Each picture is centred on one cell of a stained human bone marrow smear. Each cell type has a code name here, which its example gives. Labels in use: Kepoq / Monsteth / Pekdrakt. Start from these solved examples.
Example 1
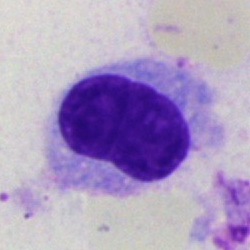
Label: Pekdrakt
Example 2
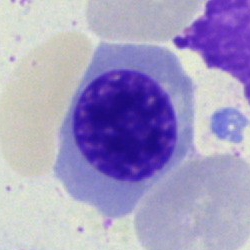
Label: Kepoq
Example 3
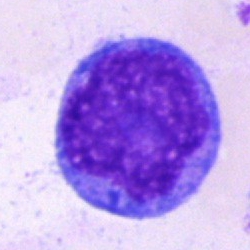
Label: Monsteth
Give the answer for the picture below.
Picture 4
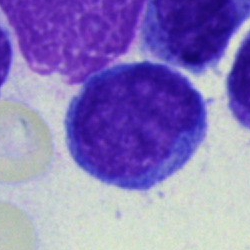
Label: Monsteth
